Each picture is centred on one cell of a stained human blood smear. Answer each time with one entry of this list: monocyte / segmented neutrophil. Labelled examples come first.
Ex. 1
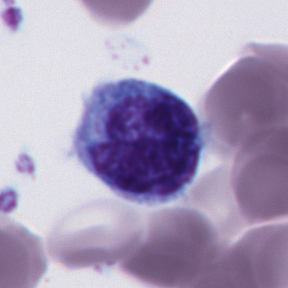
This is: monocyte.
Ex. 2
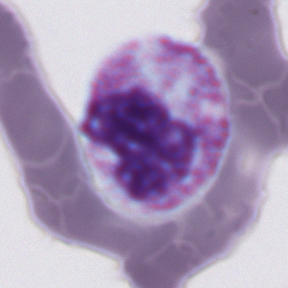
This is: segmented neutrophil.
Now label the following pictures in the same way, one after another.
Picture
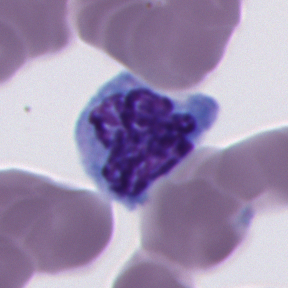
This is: monocyte.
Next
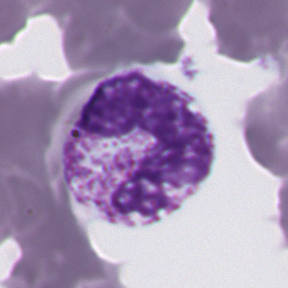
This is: segmented neutrophil.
